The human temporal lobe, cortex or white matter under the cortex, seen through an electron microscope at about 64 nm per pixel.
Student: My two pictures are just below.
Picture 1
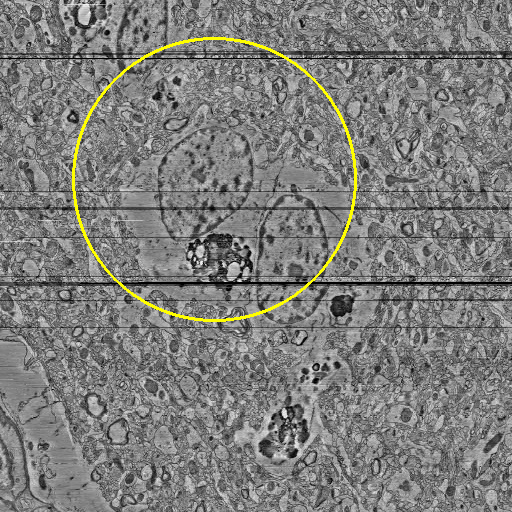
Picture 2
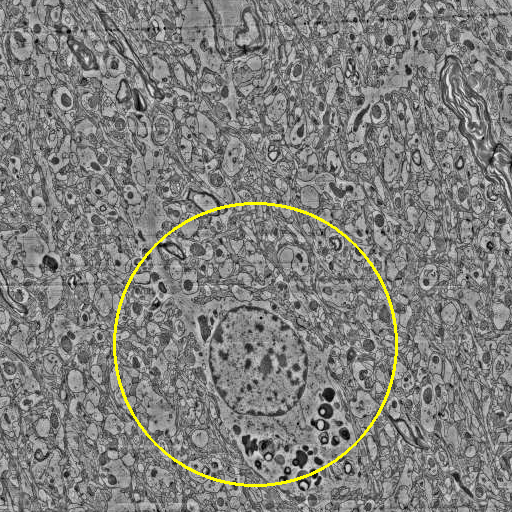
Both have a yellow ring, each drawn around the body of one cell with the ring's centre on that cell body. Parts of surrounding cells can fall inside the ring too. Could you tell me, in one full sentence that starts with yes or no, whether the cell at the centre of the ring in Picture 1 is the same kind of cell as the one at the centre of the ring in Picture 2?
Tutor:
Yes, the two cells are of the same kind.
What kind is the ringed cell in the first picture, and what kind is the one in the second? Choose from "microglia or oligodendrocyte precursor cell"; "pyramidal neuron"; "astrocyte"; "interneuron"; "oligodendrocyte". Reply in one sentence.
Each of the two pictures has an astrocyte at the ring centre.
